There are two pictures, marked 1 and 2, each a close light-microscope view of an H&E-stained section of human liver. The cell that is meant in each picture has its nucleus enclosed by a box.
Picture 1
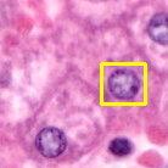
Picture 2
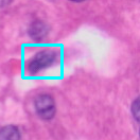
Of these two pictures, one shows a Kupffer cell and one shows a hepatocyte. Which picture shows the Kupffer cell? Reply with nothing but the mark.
2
